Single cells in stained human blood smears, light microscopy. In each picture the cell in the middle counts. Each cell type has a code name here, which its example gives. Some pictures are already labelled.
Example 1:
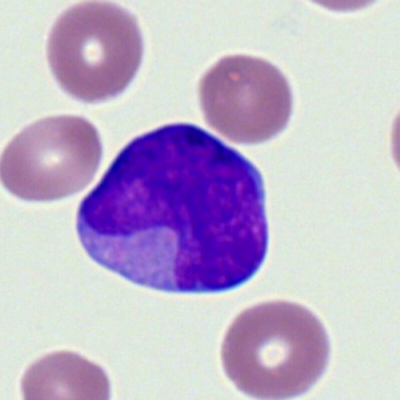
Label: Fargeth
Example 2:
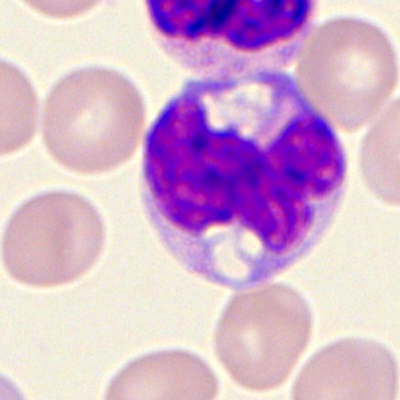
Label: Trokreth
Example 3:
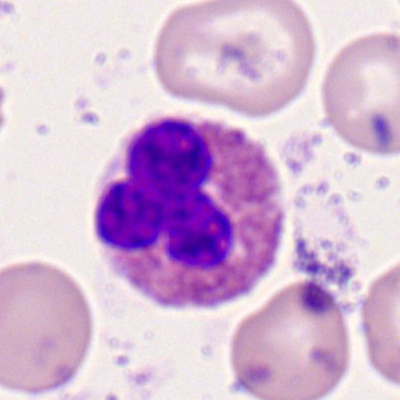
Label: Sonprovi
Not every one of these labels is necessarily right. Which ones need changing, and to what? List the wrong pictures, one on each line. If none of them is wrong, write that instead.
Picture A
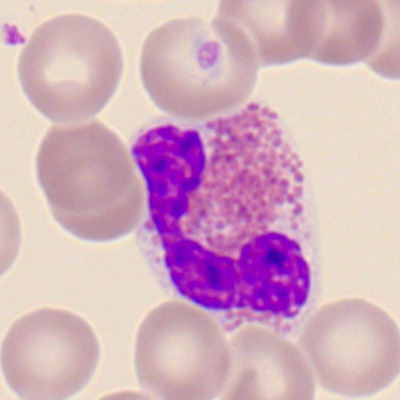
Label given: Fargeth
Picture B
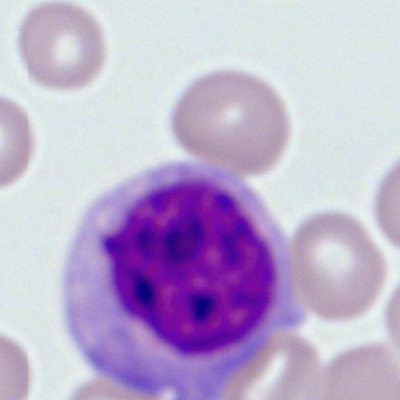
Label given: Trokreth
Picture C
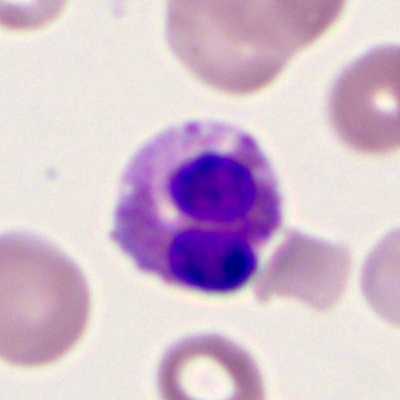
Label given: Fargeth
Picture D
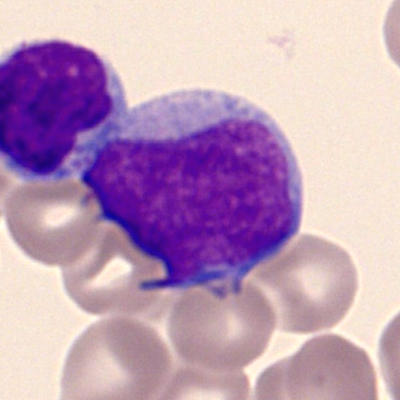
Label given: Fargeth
A should be Sonprovi, not Fargeth
C should be Sonprovi, not Fargeth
